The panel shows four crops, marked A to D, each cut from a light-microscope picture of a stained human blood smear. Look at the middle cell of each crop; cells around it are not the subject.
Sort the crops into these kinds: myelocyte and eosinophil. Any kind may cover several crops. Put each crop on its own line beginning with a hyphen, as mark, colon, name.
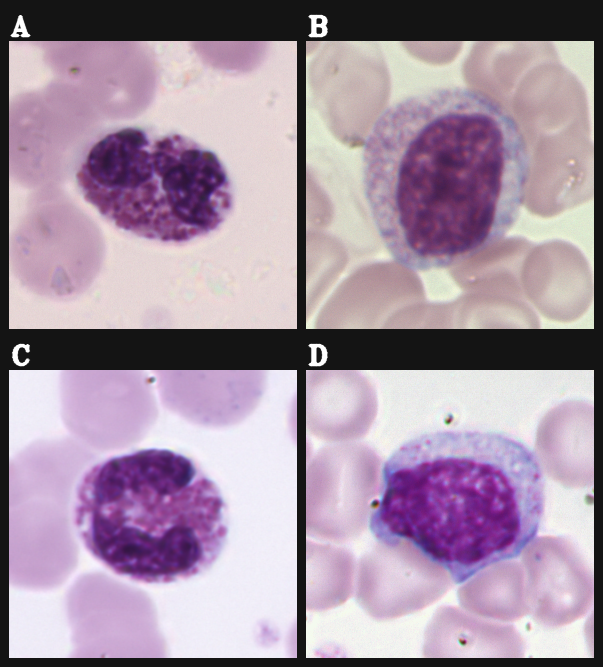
- A: eosinophil
- B: myelocyte
- C: eosinophil
- D: myelocyte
